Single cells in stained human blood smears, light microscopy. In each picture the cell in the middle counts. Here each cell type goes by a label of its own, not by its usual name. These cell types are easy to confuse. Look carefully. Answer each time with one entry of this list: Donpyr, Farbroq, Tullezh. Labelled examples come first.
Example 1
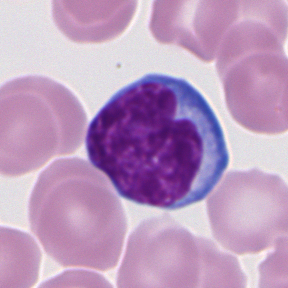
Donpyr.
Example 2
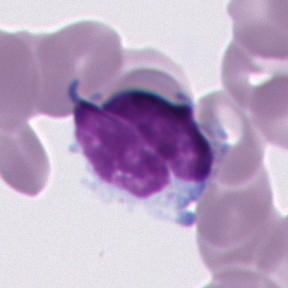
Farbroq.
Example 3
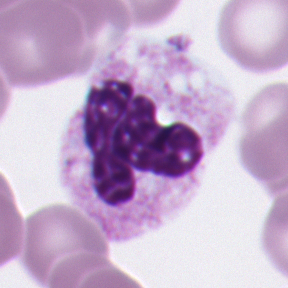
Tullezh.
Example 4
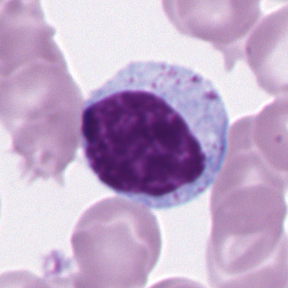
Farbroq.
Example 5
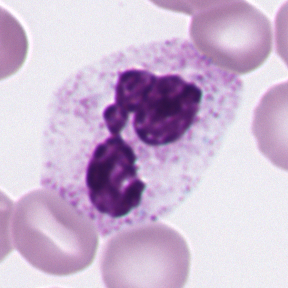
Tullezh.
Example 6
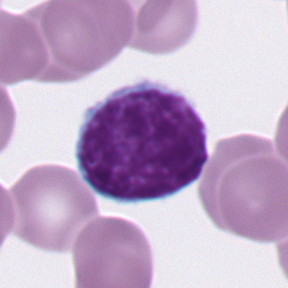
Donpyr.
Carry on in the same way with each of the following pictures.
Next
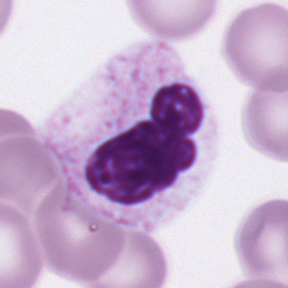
Tullezh.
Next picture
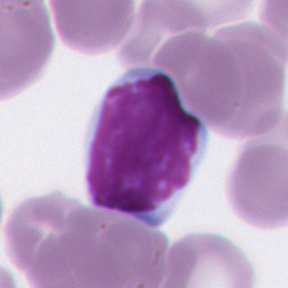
Donpyr.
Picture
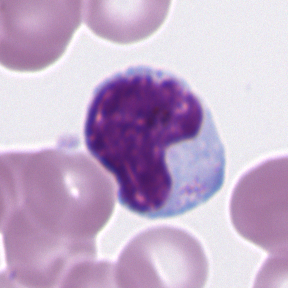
Farbroq.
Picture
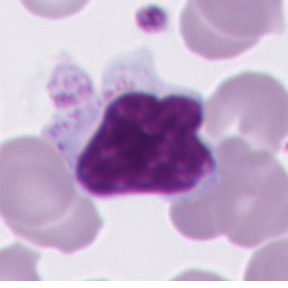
Farbroq.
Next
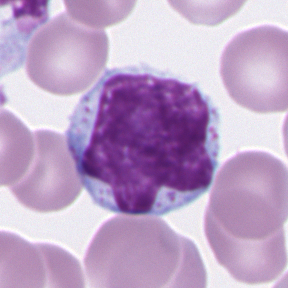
Farbroq.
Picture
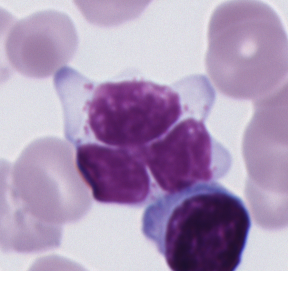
Farbroq.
